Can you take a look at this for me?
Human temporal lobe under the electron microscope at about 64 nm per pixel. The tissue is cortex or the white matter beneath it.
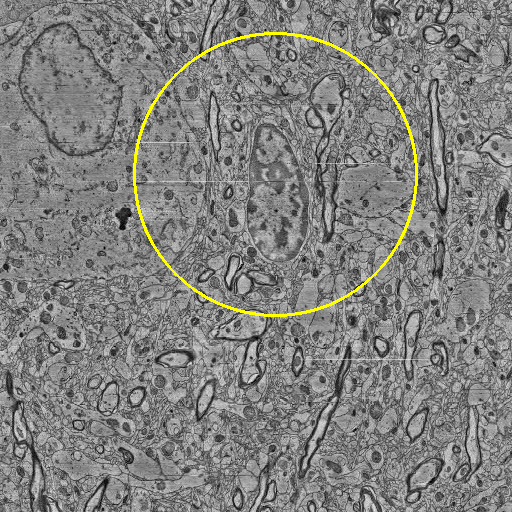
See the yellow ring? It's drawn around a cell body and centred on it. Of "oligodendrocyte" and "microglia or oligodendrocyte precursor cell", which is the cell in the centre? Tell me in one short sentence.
The one in the centre is a microglial cell or oligodendrocyte precursor cell.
